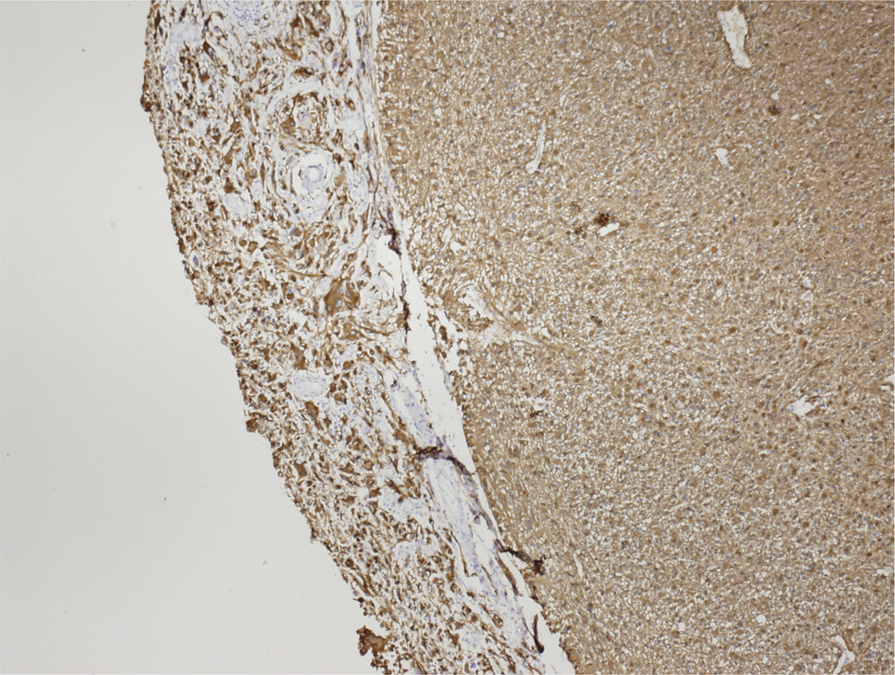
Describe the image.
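Tumorous tissue with broad brown cytoplasmic staining, seen at low power. The larger right part is a dense, fairly uniform sheet of cells. It shows diffuse light-to-medium brown cytoplasm, small pale nuclei and a few small clear spaces or vessel profiles. A narrow cleft runs obliquely and separates it from a band of looser tissue on the left. That band contains pale fibrous stroma and small vessels, among them a round thick-walled vessel. Scattered irregular cells within the band stain more intensely brown. The left border is a free edge with dark brown staining along it.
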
